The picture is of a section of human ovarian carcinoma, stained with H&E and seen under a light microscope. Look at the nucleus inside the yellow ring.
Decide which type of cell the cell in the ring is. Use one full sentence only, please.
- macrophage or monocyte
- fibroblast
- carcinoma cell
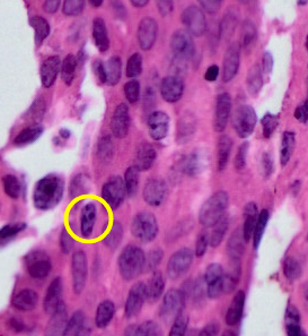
In this preparation, the cell in the ring is a macrophage or monocyte.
